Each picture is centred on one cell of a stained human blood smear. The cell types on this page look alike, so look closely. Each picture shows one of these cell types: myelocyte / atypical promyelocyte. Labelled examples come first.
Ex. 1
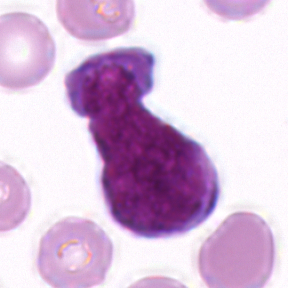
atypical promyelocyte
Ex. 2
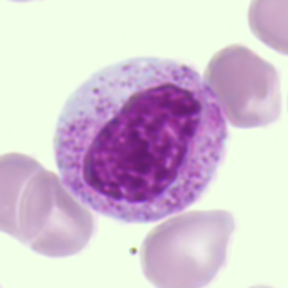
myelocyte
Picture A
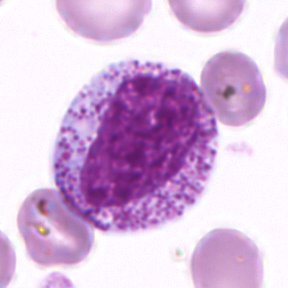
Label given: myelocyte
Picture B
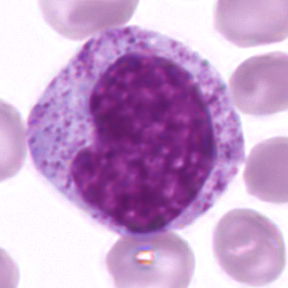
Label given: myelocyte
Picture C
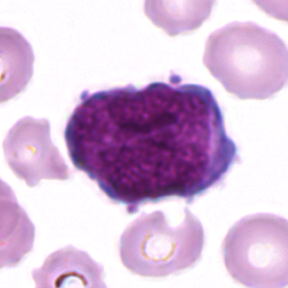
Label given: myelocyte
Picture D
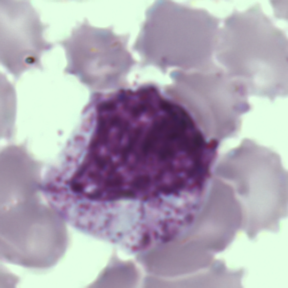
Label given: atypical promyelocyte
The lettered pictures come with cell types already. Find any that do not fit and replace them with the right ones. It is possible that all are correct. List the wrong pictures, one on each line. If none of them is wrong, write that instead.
C: atypical promyelocyte, not myelocyte
D: myelocyte, not atypical promyelocyte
